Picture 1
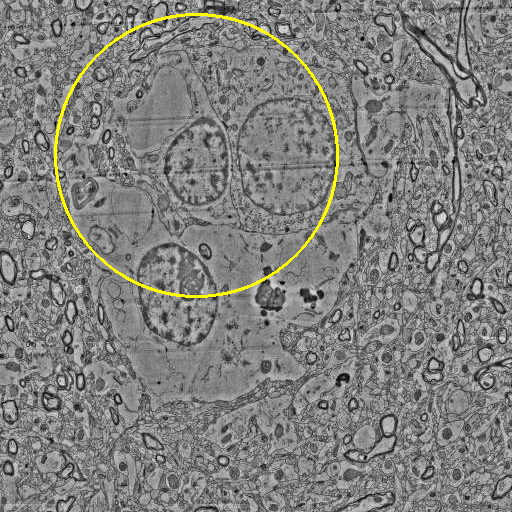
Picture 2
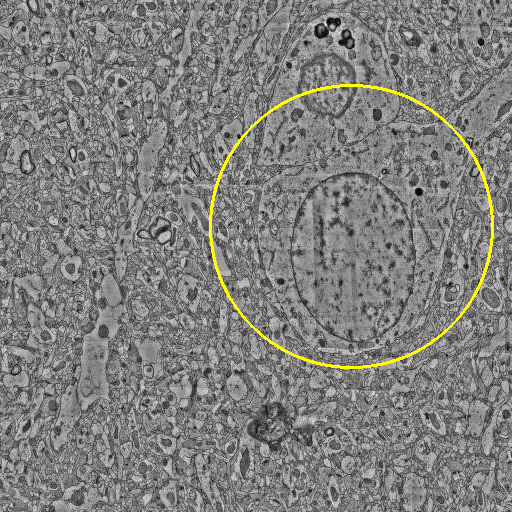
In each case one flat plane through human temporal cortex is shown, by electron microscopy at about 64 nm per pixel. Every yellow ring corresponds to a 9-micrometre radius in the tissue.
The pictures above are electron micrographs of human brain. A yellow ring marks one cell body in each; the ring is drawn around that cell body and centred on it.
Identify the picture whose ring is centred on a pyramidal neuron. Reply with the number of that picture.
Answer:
2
